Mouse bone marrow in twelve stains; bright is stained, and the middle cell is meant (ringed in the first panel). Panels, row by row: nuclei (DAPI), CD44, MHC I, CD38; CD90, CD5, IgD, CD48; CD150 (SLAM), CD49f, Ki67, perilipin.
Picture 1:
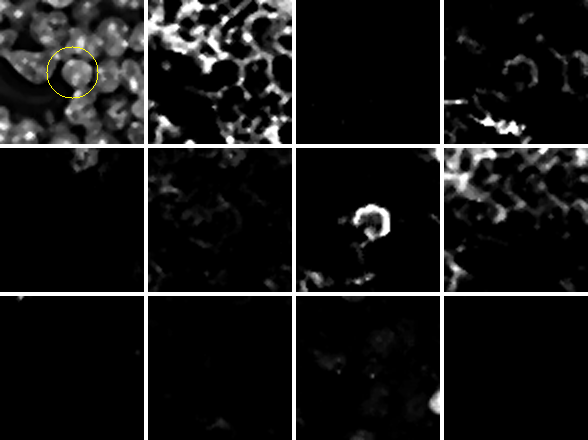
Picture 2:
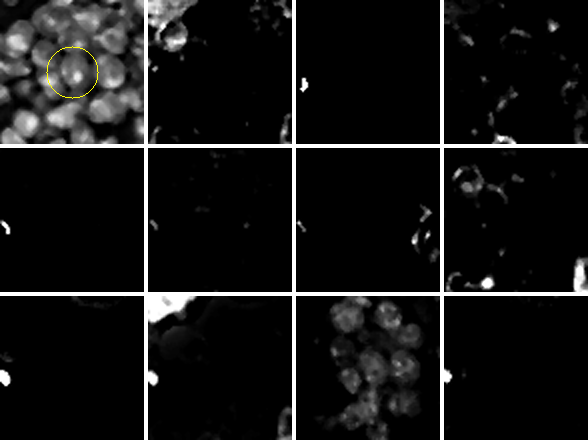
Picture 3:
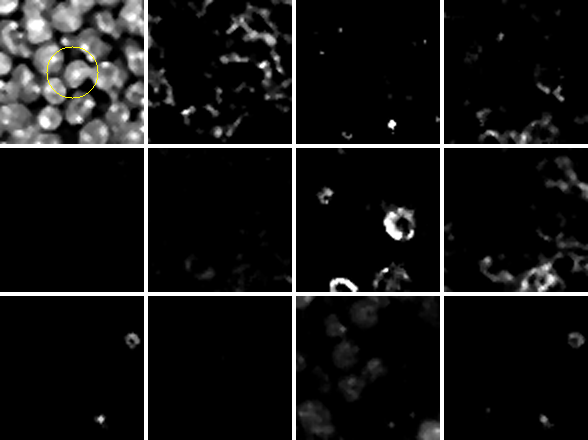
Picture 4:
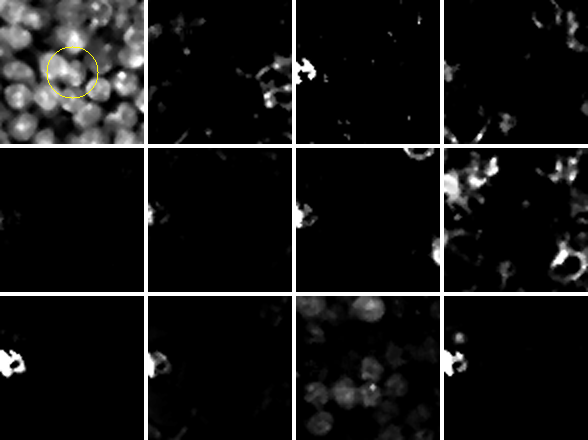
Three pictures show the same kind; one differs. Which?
Picture 1: a B cell, while the others are erythroblasts.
